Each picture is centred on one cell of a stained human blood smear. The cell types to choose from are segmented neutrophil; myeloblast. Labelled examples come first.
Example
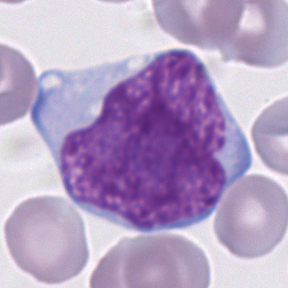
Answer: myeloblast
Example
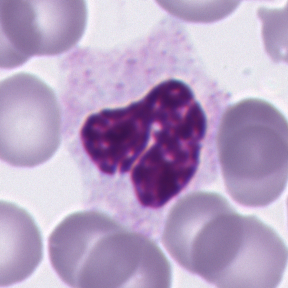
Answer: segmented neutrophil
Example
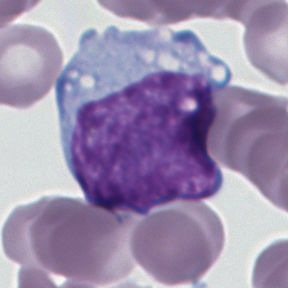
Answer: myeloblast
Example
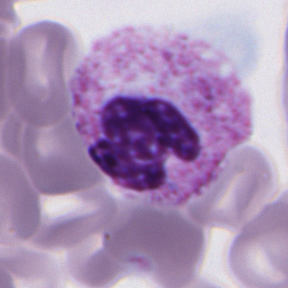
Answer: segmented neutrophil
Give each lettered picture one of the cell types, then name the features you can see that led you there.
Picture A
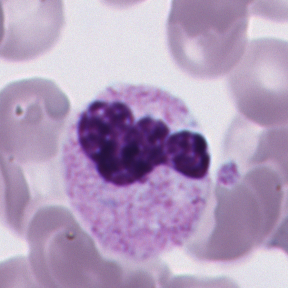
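Label: segmented neutrophil. The cytoplasm is abundant and pale pink.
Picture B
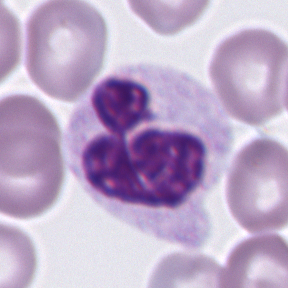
Label: segmented neutrophil. The cytoplasm is abundant and pale pinkish-lilac.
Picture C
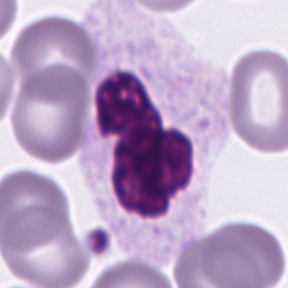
Label: segmented neutrophil. The cytoplasm is abundant and covers more area than the nucleus.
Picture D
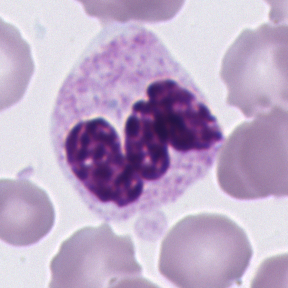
Label: segmented neutrophil. The nucleus forms a chain of lobed masses running diagonally from lower left to upper right.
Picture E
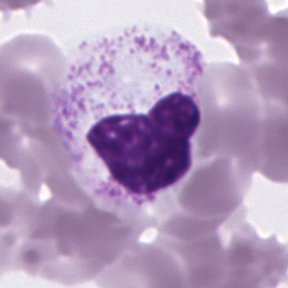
Label: segmented neutrophil. The nucleus has two lobes, the smaller lobe lying at the upper right.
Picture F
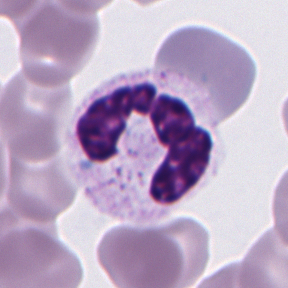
Label: segmented neutrophil. The cytoplasm is plentiful and pale pinkish-lilac.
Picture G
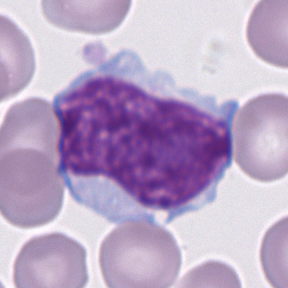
Label: myeloblast. The nucleus fills most of the cell, leaving a modest rim of cytoplasm.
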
